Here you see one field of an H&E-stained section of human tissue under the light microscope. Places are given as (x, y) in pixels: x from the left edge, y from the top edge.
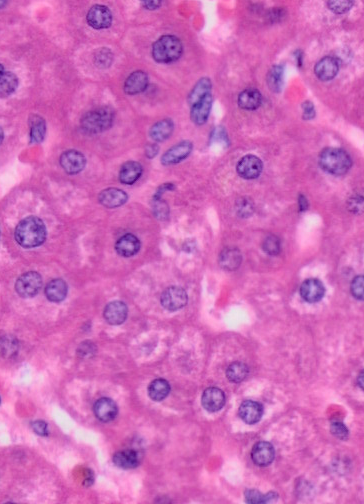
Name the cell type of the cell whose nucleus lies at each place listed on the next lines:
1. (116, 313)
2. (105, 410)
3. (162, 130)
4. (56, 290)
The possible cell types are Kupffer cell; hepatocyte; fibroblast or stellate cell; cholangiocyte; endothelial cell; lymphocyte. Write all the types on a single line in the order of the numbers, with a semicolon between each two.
hepatocyte; hepatocyte; cholangiocyte; hepatocyte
